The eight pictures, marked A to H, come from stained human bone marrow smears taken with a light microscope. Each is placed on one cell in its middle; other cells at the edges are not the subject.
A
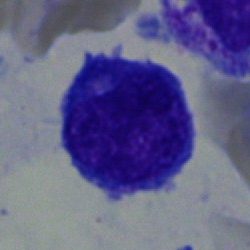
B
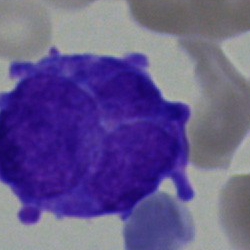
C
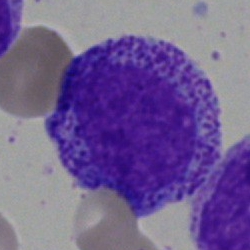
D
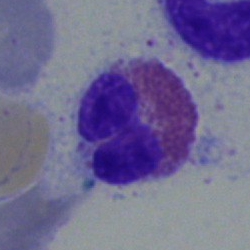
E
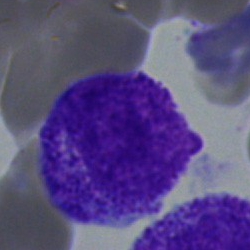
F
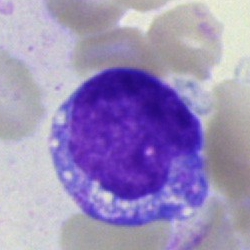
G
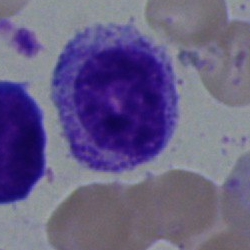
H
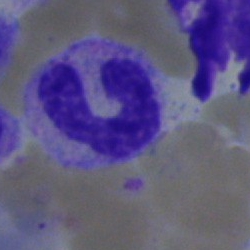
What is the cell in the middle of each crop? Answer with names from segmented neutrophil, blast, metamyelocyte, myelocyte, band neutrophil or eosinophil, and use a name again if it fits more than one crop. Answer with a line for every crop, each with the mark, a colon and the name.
A: blast
B: blast
C: myelocyte
D: eosinophil
E: myelocyte
F: blast
G: myelocyte
H: band neutrophil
